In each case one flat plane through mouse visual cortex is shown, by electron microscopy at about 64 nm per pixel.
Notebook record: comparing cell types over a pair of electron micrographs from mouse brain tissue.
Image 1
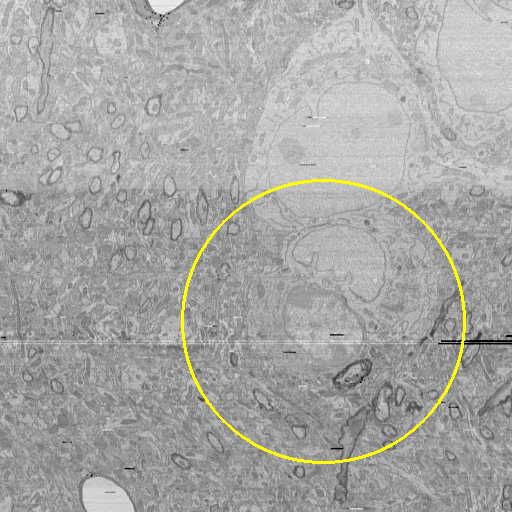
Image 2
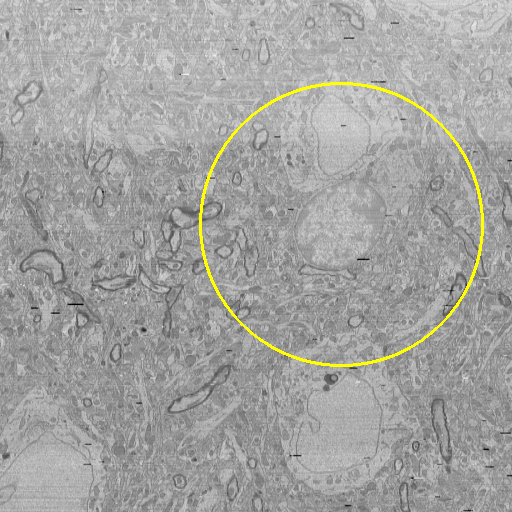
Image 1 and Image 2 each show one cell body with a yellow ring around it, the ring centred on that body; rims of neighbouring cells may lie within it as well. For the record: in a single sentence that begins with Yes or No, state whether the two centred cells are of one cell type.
Yes, one cell type is shared by the centred cells of Image 1 and Image 2.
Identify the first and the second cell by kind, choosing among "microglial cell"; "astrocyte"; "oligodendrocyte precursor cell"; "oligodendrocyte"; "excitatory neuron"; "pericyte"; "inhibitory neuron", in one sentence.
Each of the two cells is an oligodendrocyte.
